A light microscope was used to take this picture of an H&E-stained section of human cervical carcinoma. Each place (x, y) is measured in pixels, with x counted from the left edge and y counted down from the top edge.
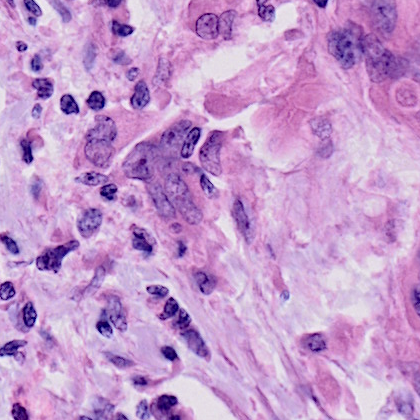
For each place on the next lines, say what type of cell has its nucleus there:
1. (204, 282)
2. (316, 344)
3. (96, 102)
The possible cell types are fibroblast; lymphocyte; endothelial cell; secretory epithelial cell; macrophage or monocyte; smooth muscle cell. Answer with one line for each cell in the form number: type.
1: macrophage or monocyte
2: macrophage or monocyte
3: lymphocyte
